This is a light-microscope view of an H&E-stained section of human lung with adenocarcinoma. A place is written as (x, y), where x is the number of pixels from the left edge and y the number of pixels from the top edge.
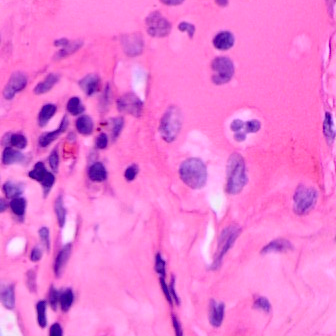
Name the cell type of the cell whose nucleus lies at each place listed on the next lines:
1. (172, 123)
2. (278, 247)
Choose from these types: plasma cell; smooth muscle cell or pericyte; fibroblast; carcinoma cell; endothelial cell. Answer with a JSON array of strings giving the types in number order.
["endothelial cell", "fibroblast"]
